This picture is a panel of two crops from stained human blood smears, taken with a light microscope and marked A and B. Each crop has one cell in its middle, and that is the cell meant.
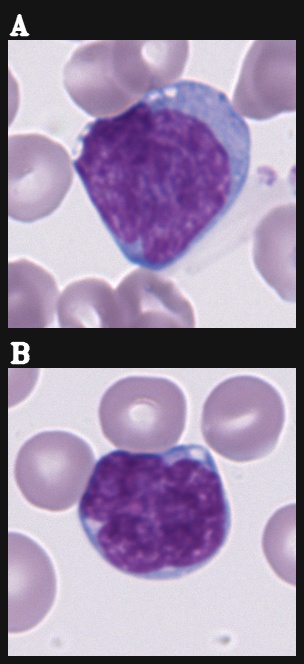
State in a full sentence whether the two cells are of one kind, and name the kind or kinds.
Yes, the central cells of both crops are myeloblasts.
